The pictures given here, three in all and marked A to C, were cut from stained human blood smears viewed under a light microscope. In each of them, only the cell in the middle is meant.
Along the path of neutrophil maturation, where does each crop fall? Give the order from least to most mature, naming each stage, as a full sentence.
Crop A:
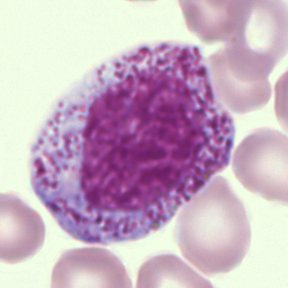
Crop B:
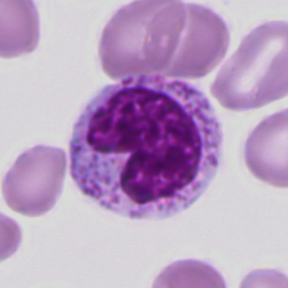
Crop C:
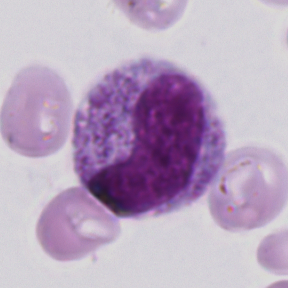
Proceeding from least to most mature, the order is crop A (a promyelocyte), crop C (a metamyelocyte) and crop B (a band neutrophil).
